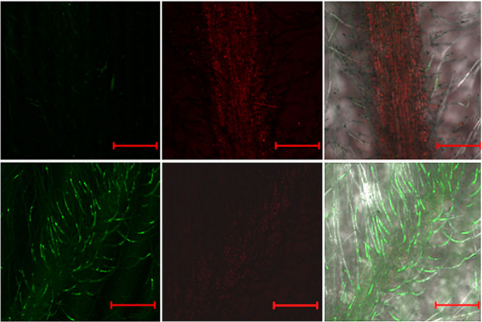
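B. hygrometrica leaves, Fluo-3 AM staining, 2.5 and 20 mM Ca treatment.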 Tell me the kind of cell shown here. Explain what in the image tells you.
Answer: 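Many long slender hair-like projections cover the surface. The hairs are outlined in green in the lower row.
Conclusion: Trichomes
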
